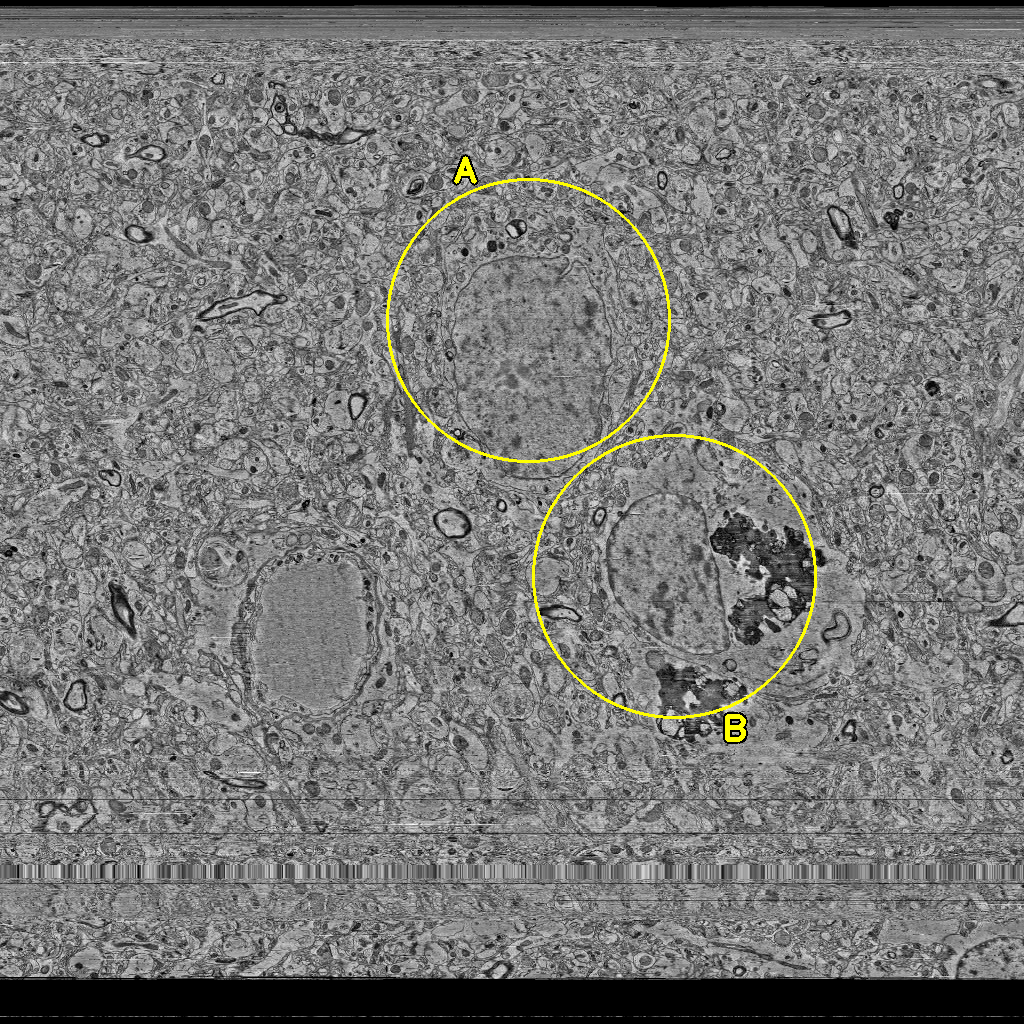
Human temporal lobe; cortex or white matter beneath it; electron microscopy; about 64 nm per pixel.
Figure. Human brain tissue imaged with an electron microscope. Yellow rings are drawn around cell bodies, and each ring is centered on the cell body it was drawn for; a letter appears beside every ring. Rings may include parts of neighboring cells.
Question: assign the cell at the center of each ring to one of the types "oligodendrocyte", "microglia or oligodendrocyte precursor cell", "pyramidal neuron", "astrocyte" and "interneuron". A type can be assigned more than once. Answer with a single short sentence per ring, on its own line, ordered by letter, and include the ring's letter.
Centered in ring A is an interneuron.
Centered in ring B is an astrocyte.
